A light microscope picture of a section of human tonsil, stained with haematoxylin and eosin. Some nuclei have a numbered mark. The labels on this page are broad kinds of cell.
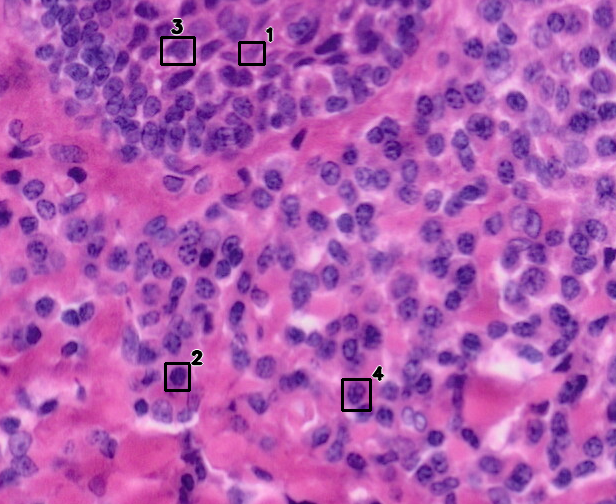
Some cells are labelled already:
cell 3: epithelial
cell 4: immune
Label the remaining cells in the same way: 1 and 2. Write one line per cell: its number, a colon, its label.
1: epithelial
2: immune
